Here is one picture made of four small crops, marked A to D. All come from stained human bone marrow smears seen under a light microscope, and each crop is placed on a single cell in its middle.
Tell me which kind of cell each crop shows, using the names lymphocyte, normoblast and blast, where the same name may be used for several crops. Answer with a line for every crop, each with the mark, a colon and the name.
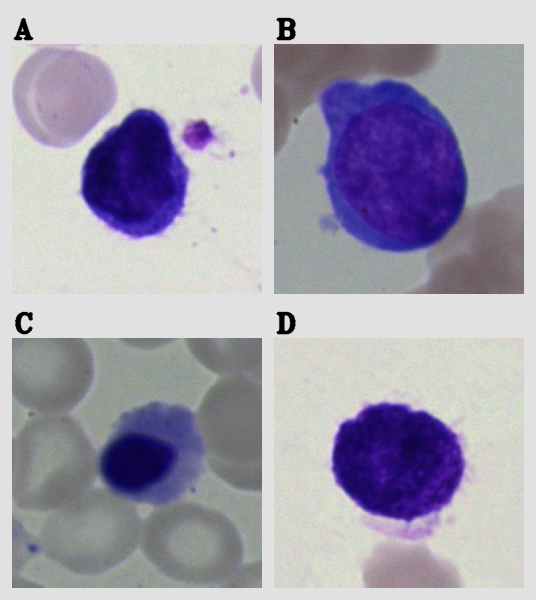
A: lymphocyte
B: blast
C: normoblast
D: blast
